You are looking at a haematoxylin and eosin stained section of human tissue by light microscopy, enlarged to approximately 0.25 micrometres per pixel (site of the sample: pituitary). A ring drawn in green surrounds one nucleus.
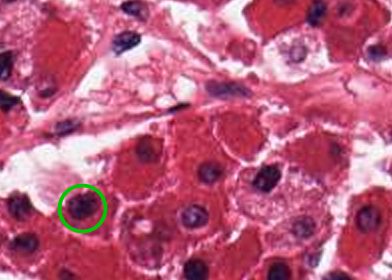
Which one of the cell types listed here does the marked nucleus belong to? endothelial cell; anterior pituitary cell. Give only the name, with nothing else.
anterior pituitary cell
